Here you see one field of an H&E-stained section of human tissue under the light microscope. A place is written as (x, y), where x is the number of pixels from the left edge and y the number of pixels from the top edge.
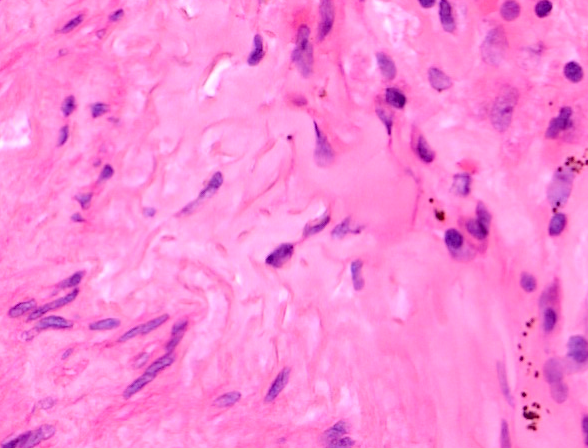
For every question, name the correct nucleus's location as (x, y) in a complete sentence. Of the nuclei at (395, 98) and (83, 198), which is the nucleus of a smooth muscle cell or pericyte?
The nucleus whose cell is a smooth muscle cell or pericyte is the one at (83, 198).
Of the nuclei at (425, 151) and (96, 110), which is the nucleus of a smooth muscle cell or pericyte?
Only the nucleus at (96, 110), of the two, belongs to a smooth muscle cell or pericyte.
